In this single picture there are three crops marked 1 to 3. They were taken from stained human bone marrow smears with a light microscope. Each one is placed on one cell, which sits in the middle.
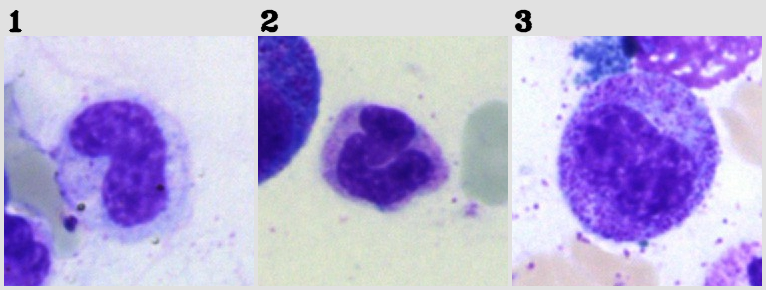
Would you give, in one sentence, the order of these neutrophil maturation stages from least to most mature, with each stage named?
From least to most mature, the sequence is given by crop 3 (a myelocyte), crop 1 (a band neutrophil) and crop 2 (a segmented neutrophil).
